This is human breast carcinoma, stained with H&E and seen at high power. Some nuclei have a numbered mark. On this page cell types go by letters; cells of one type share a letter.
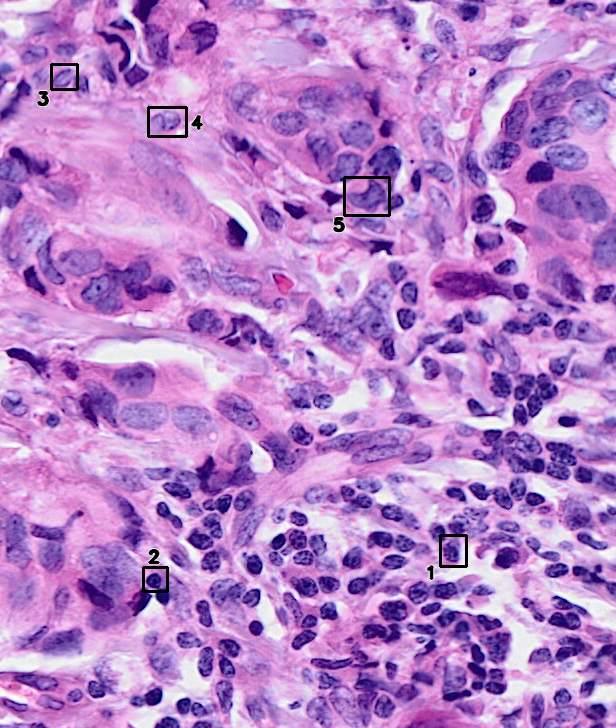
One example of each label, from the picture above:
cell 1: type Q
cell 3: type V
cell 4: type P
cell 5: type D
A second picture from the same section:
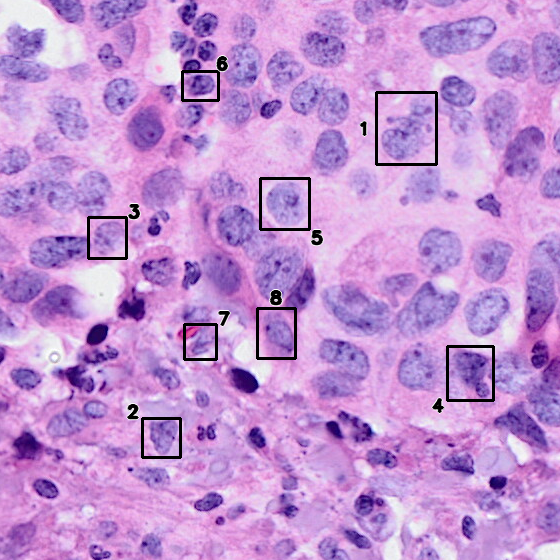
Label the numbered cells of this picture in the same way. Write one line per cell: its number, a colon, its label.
1: type D
2: type P
3: type D
4: type D
5: type D
6: type Q
7: type V
8: type D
